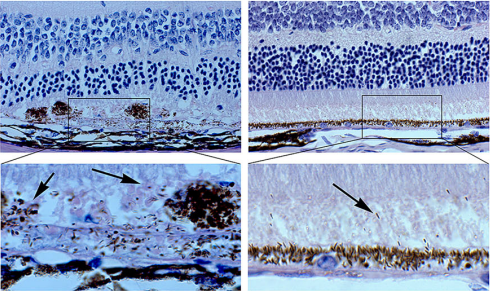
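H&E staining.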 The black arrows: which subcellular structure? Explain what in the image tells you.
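The black arrows point at dark brown granules. The granules lie in the pale striated layer above the brown pigmented band, not within that band.
Answer: melanin granules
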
